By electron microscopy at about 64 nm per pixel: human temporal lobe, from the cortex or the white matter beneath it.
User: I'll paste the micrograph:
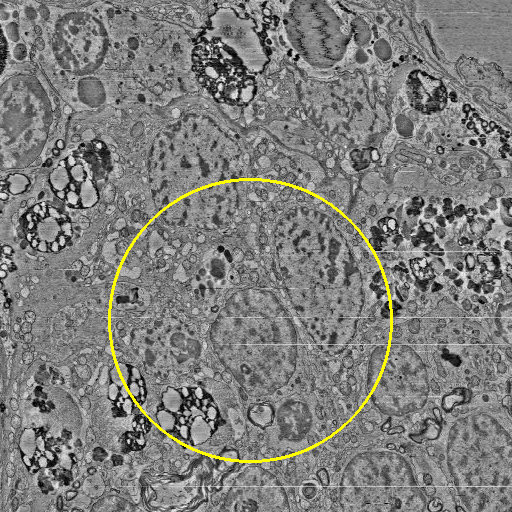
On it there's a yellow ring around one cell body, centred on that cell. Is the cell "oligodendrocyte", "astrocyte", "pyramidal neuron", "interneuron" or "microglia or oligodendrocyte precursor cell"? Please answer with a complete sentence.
The cell ringed in yellow is an oligodendrocyte.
